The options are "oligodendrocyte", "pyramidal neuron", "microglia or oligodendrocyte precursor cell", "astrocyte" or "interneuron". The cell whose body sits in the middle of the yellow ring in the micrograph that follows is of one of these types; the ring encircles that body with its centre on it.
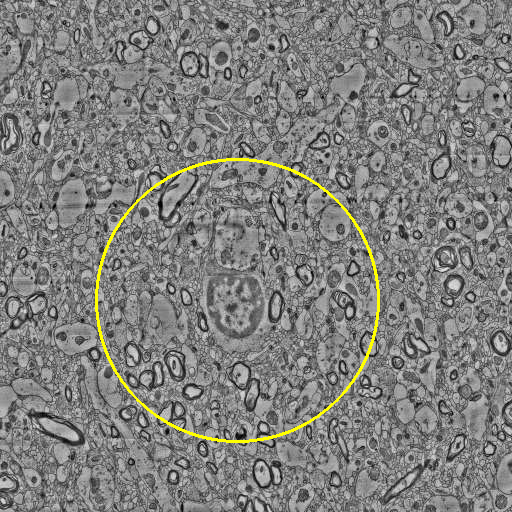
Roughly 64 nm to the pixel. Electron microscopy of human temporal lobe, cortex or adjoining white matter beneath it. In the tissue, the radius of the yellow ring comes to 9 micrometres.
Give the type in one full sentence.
Going by the micrograph, the cell centred in the yellow ring is an oligodendrocyte.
